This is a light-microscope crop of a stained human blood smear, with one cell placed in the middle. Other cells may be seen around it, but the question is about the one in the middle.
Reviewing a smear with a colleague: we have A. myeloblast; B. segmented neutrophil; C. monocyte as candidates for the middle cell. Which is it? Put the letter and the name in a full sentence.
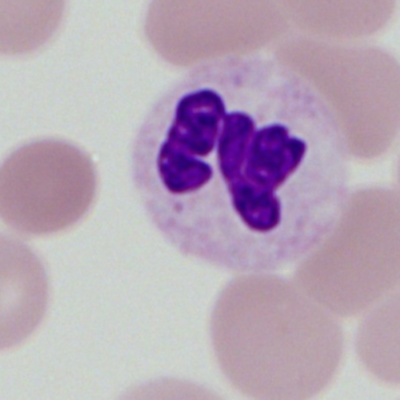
What sits in the middle of the crop is a segmented neutrophil, and option B is correct.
